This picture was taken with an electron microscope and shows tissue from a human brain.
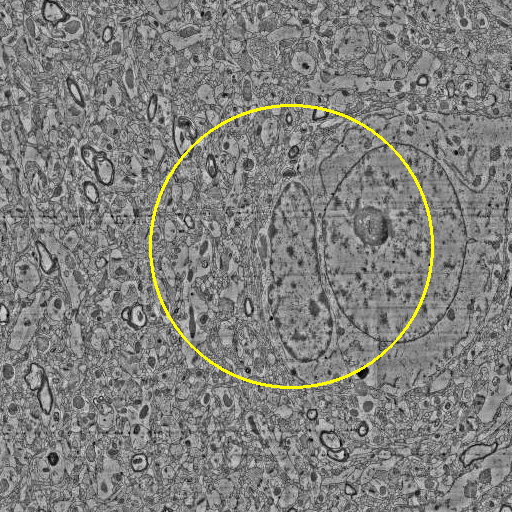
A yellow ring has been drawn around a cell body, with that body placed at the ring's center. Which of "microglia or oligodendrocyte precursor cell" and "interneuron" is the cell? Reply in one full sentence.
In this picture, a microglial cell or oligodendrocyte precursor cell is the cell at the center of the yellow ring.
